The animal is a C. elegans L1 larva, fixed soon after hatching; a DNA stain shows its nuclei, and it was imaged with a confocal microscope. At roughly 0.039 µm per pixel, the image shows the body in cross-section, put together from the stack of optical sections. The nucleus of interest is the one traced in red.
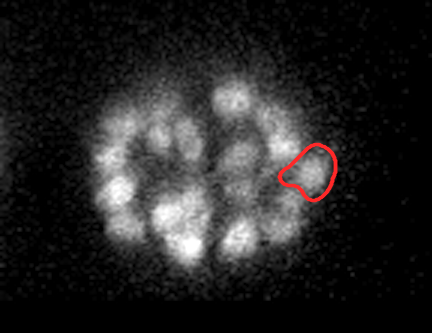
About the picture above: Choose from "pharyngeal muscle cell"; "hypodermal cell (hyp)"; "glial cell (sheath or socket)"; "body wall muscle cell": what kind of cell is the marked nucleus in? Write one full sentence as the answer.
The marked cell is a hypodermal cell (hyp).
